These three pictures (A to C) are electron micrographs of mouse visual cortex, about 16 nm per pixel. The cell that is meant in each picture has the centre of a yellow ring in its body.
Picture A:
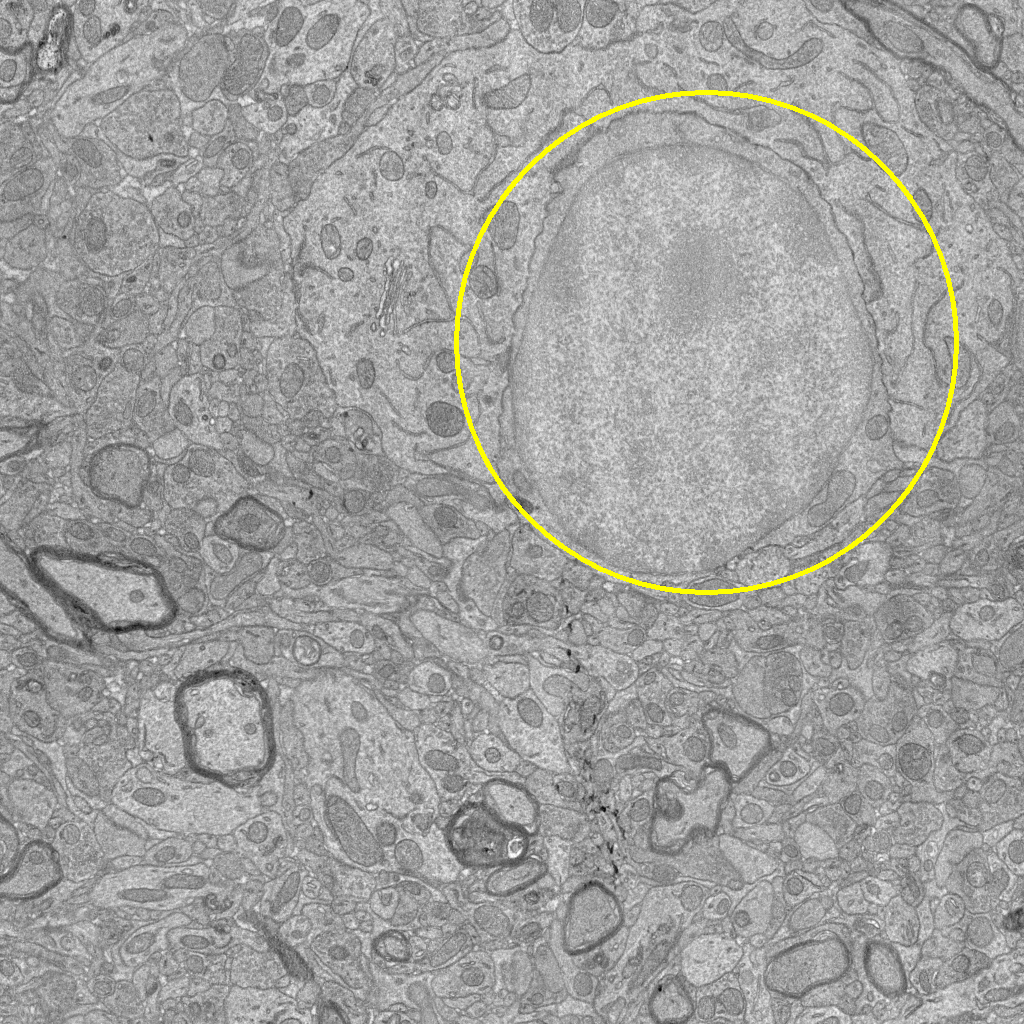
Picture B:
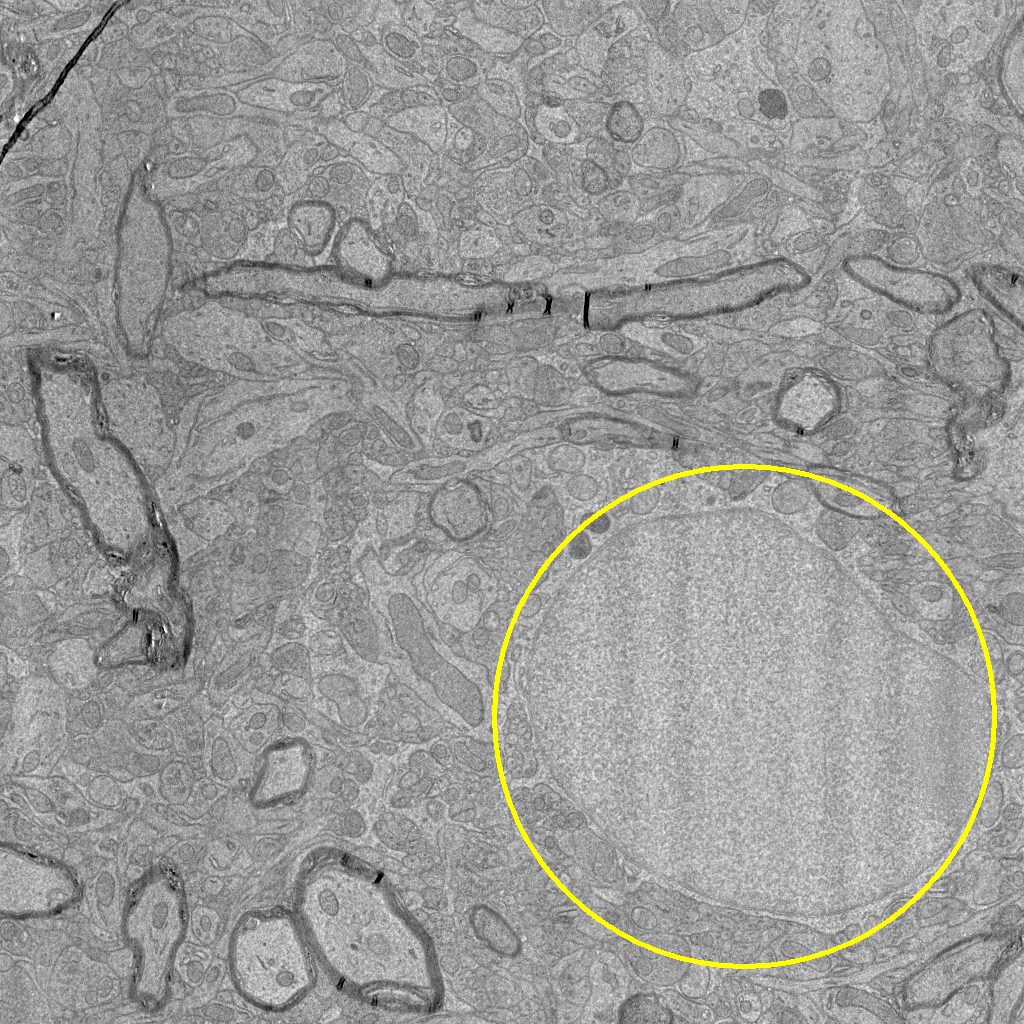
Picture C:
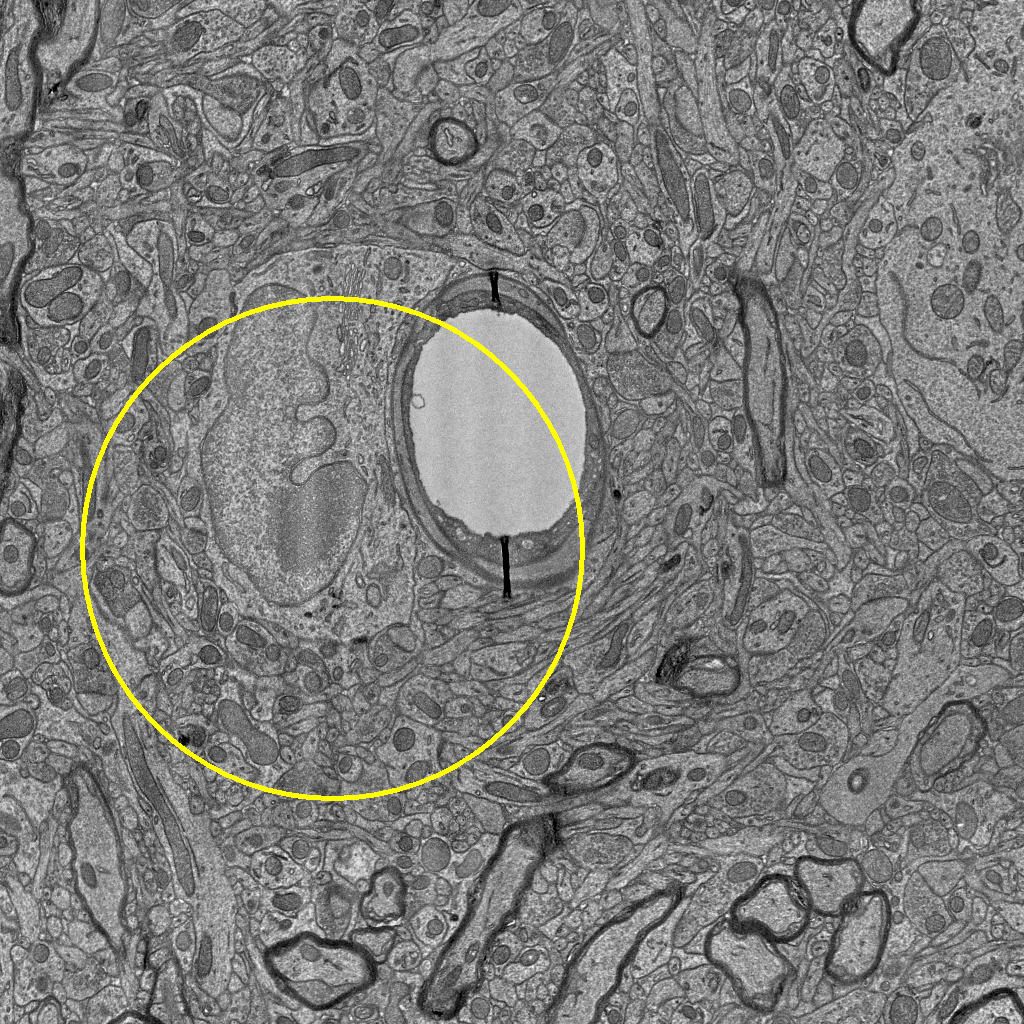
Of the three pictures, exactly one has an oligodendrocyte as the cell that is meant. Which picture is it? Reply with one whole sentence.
Picture A shows the oligodendrocyte.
